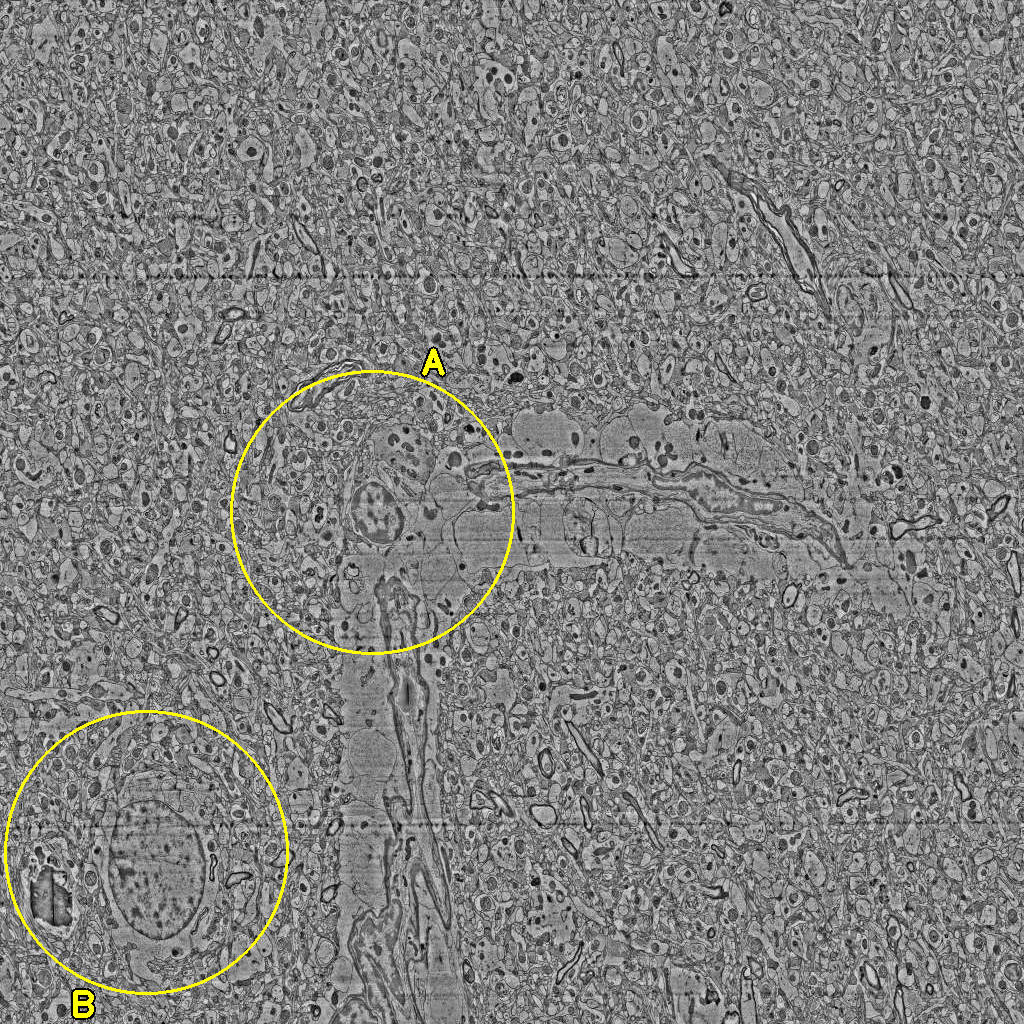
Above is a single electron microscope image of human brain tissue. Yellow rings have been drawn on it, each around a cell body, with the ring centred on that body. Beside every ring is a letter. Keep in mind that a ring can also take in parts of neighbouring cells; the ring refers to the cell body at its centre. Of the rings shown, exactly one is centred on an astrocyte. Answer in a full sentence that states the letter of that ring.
The cell at the centre of ring B is the one asked for.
